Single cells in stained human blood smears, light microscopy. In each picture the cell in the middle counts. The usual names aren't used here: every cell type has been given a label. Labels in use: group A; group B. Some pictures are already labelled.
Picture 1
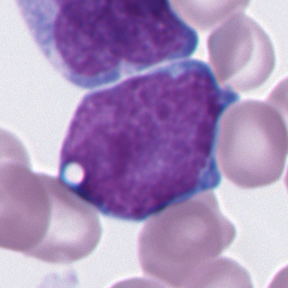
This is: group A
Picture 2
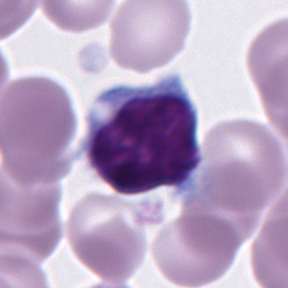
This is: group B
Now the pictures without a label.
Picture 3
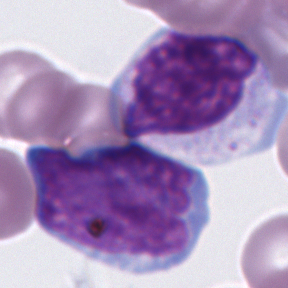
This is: group A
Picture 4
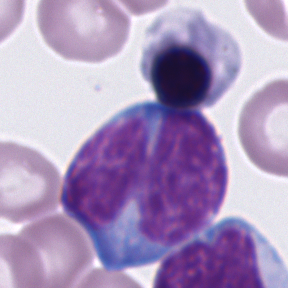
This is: group A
